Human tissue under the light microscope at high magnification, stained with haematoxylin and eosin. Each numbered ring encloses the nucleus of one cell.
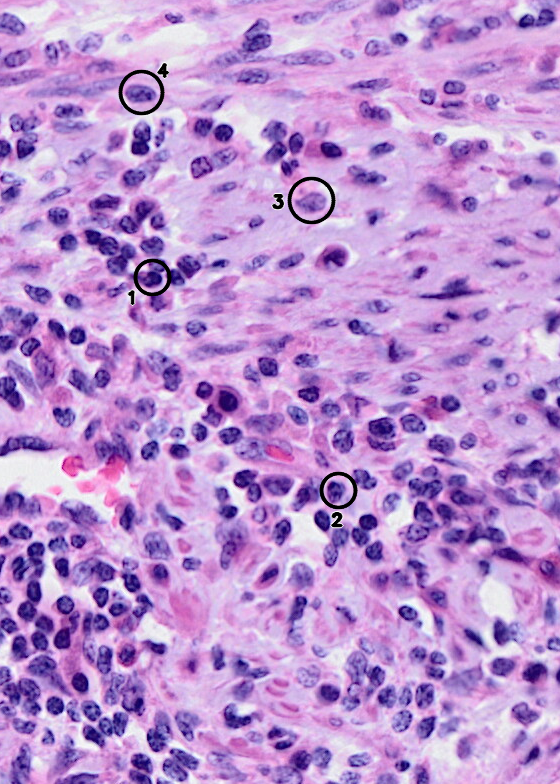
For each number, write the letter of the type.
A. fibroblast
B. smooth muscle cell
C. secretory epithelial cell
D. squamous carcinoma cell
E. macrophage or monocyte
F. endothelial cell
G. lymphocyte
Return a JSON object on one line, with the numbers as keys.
{"1": "G", "2": "G", "3": "E", "4": "G"}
